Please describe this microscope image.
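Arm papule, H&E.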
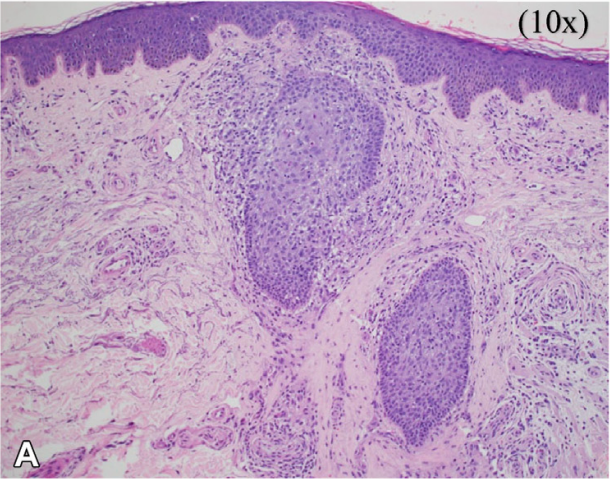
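Skin with epidermis above and dermis below, containing rounded islands of follicular epithelium surrounded and infiltrated by lymphocytes. The lymphocytes appear as many small dark nuclei crowding the edges and interior of the epithelial islands and gathering in the surrounding dermis. The rest of the dermis shows pale pink collagen with scattered small vessels.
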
